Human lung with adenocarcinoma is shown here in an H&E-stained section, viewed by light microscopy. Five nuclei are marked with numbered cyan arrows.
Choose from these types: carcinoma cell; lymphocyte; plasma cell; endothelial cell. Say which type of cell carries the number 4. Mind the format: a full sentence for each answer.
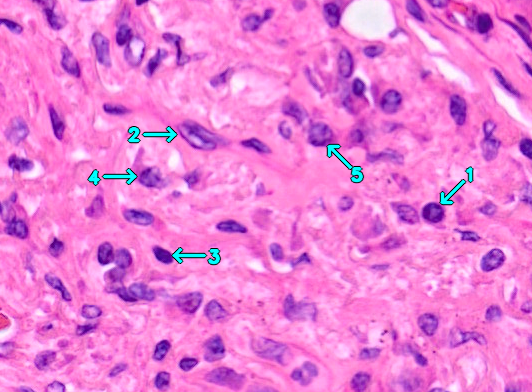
The correct label for cell 4 is a plasma cell.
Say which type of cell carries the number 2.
In the marked set, the cell given number 2 is an endothelial cell.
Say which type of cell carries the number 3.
Belonging to a lymphocyte is the nucleus that carries the number 3.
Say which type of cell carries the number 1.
The nucleus with number 1 is that of a plasma cell.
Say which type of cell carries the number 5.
The cell that bears the number 5 is a plasma cell.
